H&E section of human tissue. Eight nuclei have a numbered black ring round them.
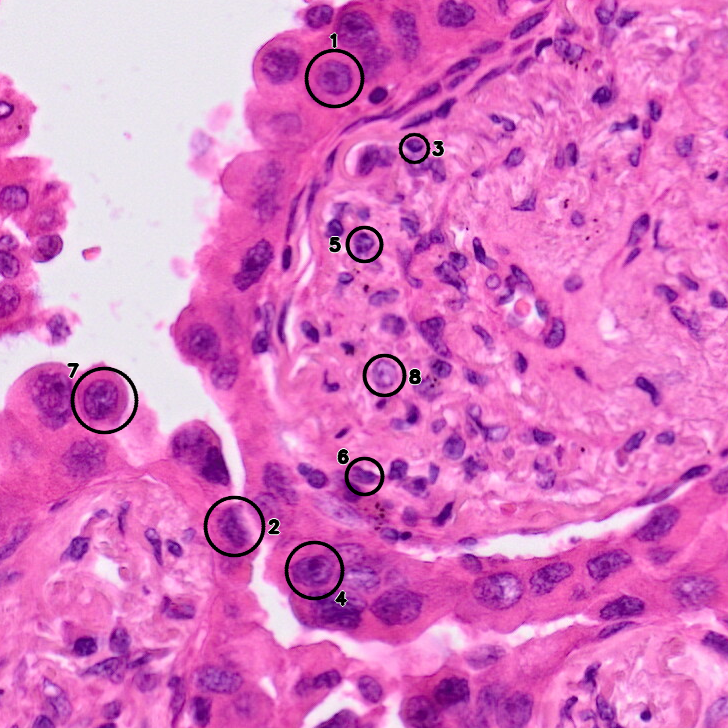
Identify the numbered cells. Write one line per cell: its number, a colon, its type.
1: carcinoma cell
2: carcinoma cell
3: lymphocyte
4: carcinoma cell
5: plasma cell
6: lymphocyte
7: carcinoma cell
8: fibroblast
